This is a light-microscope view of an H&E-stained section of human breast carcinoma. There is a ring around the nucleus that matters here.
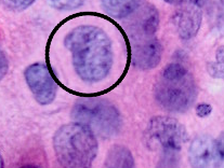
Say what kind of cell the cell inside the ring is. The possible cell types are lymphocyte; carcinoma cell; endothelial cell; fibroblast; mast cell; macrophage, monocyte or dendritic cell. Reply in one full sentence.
This is a carcinoma cell.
